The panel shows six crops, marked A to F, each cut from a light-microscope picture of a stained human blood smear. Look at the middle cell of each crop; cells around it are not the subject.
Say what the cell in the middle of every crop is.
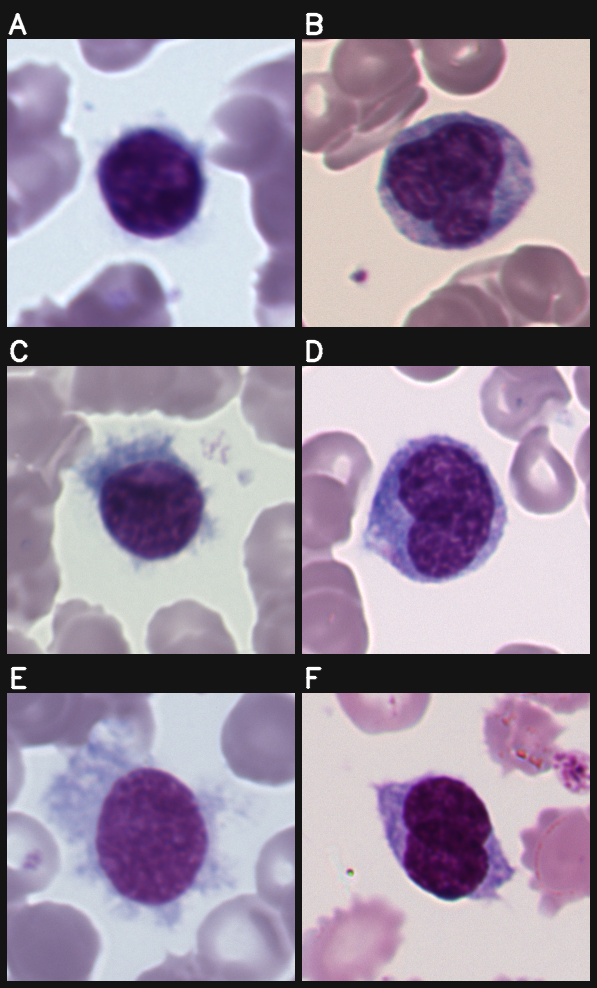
A: hairy cell
B: monocyte
C: hairy cell
D: monocyte
E: hairy cell
F: hairy cell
